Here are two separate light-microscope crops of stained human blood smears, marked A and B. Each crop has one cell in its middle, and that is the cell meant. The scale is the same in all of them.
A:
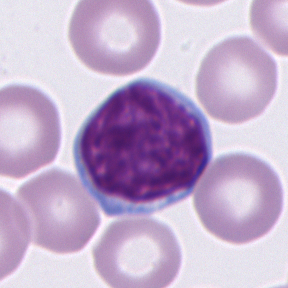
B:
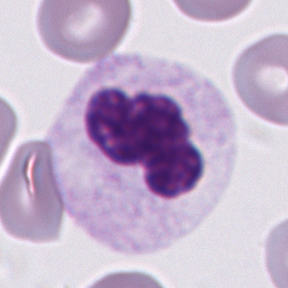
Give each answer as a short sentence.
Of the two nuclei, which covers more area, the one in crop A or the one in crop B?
Larger is the nucleus in crop A, at roughly 1.5 times the area of the other.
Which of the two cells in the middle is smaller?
The cell in crop A is smaller; the one in crop B has about 2 times its area.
